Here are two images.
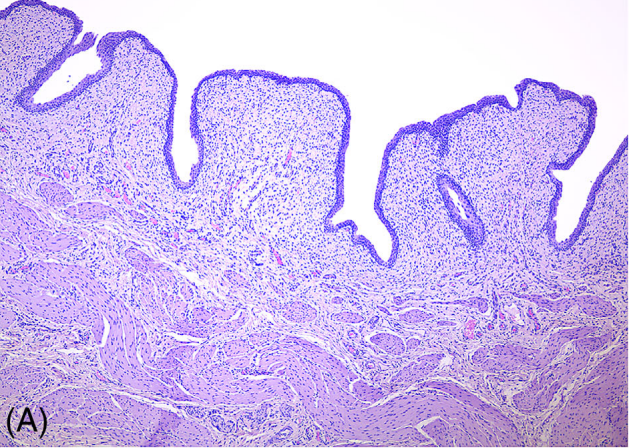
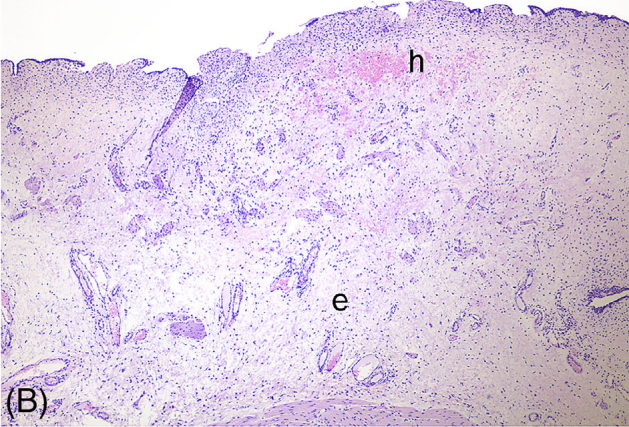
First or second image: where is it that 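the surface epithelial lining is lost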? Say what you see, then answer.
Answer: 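Second image: the surface is mostly bare pale stroma without a dark epithelial layer. First image: a continuous dark purple multilayered epithelium lines the folded surface.
Answer: the second image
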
